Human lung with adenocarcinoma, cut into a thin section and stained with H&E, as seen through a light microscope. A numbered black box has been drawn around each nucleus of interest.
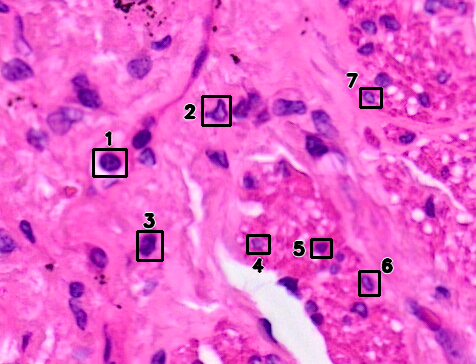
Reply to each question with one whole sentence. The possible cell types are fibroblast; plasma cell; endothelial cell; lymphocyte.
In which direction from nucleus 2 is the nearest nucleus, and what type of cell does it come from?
Just to the right of nucleus 2 lies the nearest nucleus, which belongs to a plasma cell.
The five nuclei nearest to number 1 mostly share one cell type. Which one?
Around number 1, most of the five nearest nuclei are those of endothelial cells.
